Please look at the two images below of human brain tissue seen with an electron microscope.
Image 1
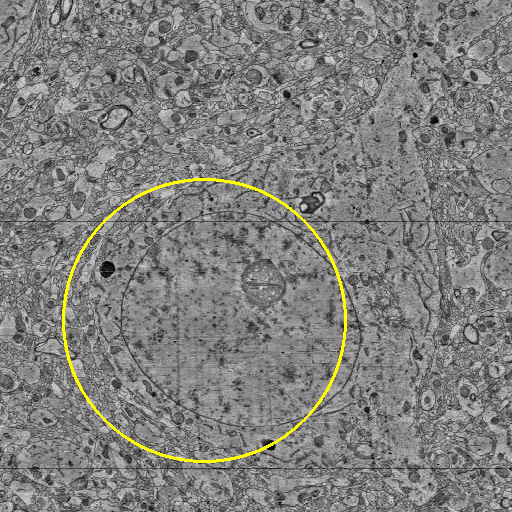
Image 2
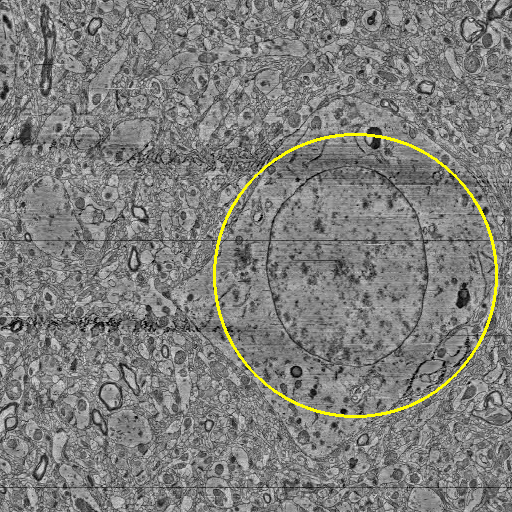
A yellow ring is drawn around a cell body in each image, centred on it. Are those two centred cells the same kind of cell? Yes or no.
yes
